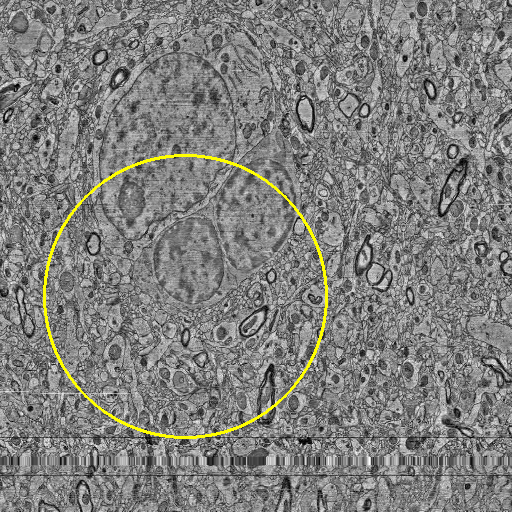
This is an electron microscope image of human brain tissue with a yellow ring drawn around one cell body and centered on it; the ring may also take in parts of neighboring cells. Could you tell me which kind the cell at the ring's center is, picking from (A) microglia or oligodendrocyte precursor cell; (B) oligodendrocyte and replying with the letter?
B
